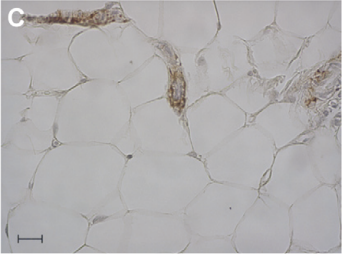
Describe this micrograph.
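Section of white adipose tissue made of large polygonal adipocytes packed in a honeycomb pattern, each appearing empty with only a thin rim of cytoplasm. Thin walls separate neighbouring cells.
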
